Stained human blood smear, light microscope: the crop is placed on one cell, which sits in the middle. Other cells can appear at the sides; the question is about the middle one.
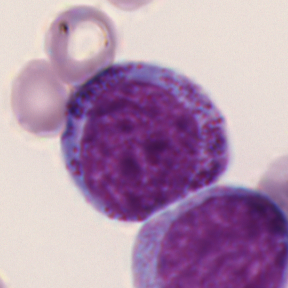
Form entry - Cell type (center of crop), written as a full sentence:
The centrally placed cell is classified as a promyelocyte.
